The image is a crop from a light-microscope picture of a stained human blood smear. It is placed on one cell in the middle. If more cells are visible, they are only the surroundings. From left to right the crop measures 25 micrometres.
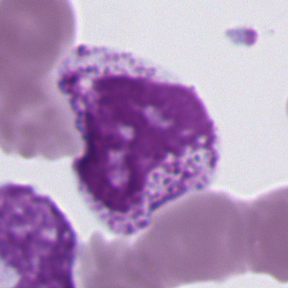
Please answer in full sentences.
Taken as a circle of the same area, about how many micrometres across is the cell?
The diameter of the cell comes to about 14 micrometres.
